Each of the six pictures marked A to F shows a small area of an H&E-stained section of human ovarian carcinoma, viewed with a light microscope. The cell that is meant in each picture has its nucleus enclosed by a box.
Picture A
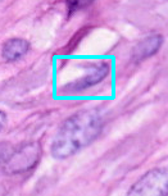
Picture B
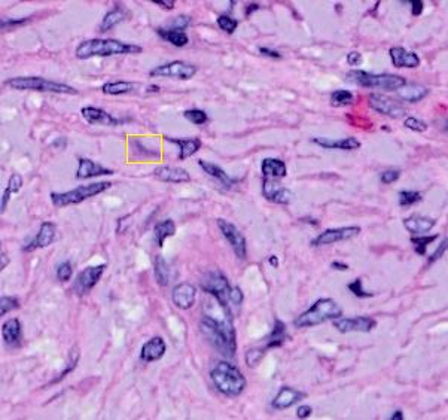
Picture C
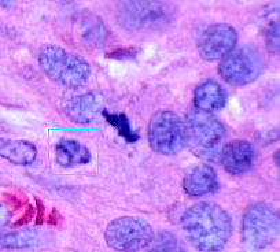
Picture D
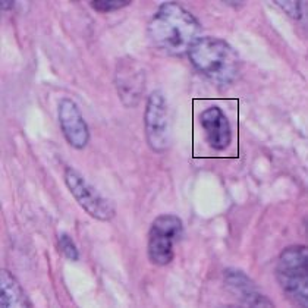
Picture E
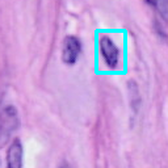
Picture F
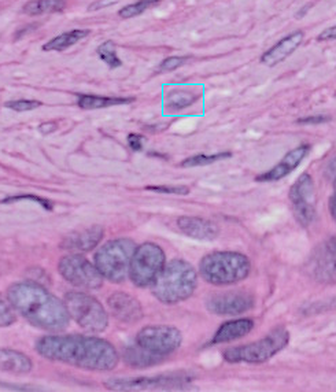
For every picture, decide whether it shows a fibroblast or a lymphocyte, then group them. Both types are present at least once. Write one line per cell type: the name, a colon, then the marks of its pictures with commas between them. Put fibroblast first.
fibroblast: A, B, F
lymphocyte: C, D, E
